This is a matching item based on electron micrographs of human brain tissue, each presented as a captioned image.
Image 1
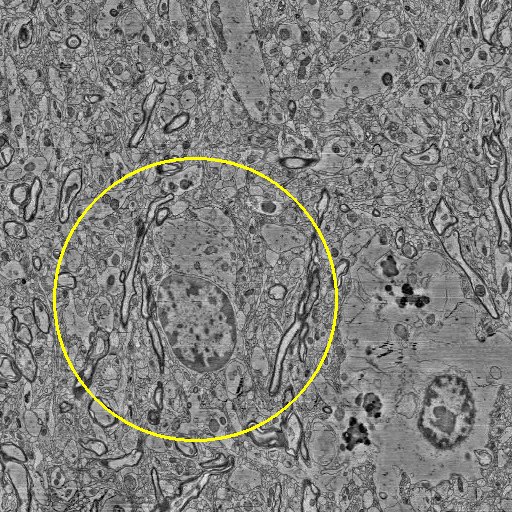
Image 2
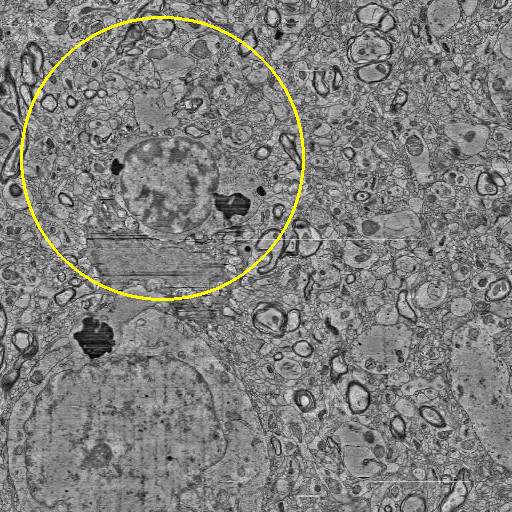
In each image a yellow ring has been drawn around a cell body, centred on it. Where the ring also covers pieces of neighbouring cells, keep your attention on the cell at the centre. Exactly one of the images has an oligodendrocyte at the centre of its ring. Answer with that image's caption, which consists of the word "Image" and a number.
Image 2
